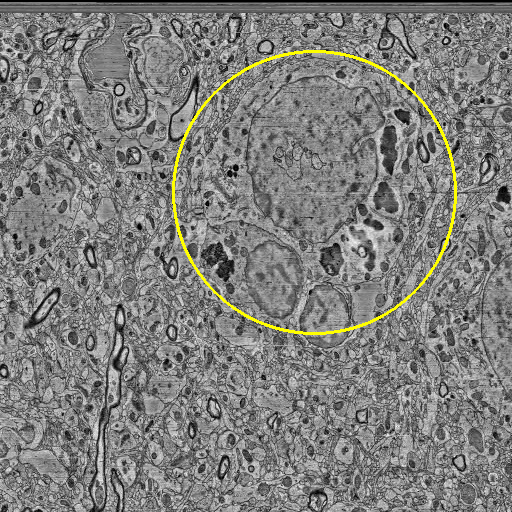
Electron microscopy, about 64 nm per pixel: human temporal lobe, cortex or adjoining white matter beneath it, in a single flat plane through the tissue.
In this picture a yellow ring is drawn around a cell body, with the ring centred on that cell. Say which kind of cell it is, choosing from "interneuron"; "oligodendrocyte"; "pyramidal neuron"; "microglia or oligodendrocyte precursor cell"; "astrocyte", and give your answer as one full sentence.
Here it is an interneuron that sits at the centre of the drawn yellow ring.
